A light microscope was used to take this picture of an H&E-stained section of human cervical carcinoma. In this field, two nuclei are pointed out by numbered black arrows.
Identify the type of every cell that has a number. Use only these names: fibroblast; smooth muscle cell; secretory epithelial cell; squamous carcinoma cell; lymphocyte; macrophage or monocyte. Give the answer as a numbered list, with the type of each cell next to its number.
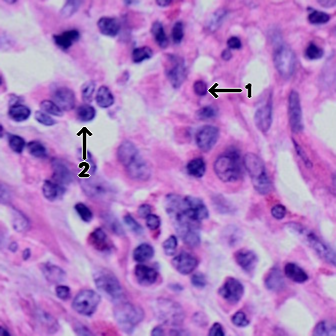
1. macrophage or monocyte
2. lymphocyte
